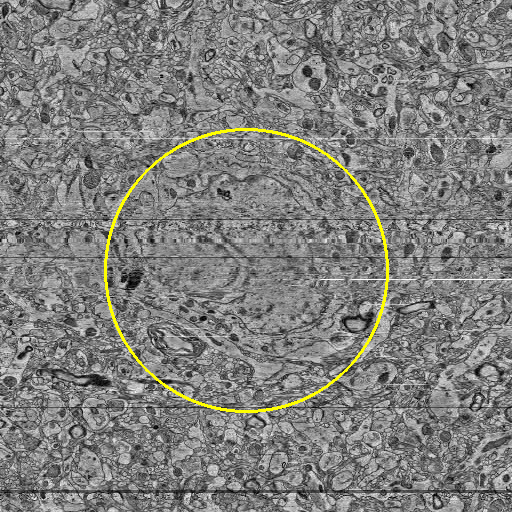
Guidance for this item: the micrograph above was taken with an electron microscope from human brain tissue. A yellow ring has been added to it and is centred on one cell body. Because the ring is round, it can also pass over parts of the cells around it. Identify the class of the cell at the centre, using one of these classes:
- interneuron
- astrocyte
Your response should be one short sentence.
The ring surrounds the body of an interneuron.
